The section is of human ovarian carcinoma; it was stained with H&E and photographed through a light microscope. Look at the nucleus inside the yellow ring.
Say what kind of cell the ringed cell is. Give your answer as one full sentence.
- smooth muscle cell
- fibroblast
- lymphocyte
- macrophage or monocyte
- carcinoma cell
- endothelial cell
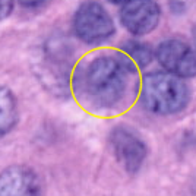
So far as cell type goes, the ringed cell is a carcinoma cell.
